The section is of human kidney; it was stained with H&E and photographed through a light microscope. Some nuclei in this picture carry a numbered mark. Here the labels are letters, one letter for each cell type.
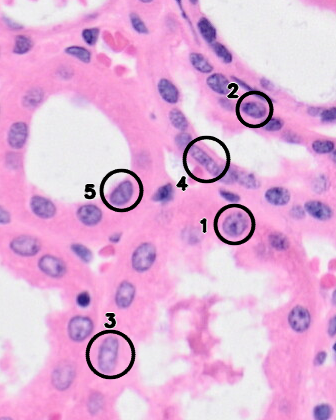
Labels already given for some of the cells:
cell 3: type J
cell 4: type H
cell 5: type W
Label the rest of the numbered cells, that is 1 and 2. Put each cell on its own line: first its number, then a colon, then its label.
1: type J
2: type H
